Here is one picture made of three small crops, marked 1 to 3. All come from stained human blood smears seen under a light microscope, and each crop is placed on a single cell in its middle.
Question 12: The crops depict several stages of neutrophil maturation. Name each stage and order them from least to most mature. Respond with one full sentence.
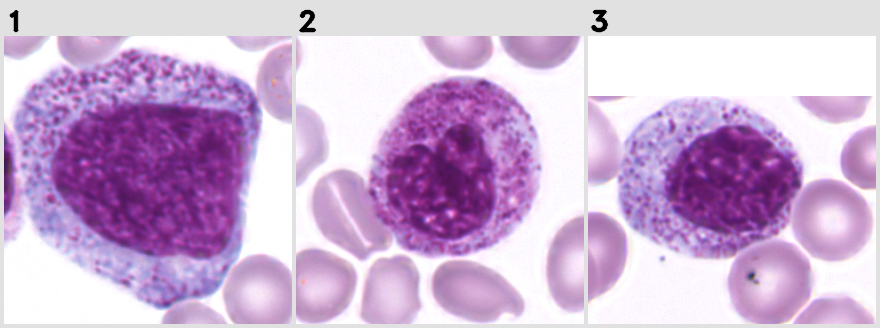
Once sorted from least to most mature, the sequence is crop 1 (a promyelocyte), crop 3 (a myelocyte) and crop 2 (a band neutrophil).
